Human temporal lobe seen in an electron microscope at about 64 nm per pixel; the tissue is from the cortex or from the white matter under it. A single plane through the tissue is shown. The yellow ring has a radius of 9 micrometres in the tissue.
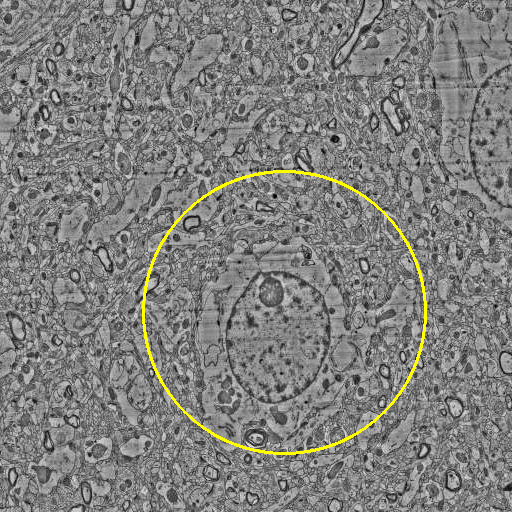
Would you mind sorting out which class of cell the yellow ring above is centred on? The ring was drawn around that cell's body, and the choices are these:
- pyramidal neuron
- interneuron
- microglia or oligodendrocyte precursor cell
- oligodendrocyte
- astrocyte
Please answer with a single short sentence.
This is the cell body of an astrocyte.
